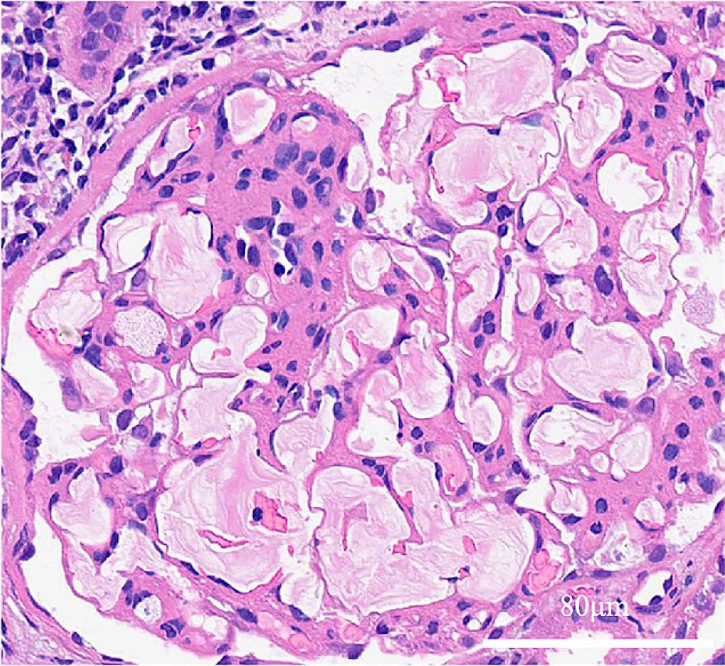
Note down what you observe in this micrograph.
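A single glomerulus of the kidney is shown, its capillary tuft lying within a thin pink capsule separated by a clear space. Many capillary loops are widely dilated and filled with pale pink, homogeneous to layered material that has a lamellated, concentric appearance. Between the distended loops lie pink mesangial areas with scattered dark blue oval nuclei. Red blood cells are few and compressed at the edges of some loops. Outside the capsule, at the upper left, lies interstitial tissue with a cluster of small dark nuclei.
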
